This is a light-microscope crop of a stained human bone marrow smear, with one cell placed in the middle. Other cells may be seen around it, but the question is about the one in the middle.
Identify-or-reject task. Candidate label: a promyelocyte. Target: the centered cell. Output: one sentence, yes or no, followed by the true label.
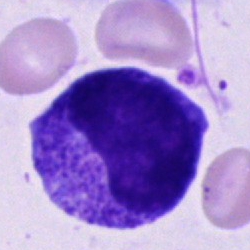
Yes, the cell at the centre of the field is a promyelocyte.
